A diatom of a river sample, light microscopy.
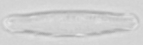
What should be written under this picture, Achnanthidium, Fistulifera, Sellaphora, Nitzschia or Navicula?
Achnanthidium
